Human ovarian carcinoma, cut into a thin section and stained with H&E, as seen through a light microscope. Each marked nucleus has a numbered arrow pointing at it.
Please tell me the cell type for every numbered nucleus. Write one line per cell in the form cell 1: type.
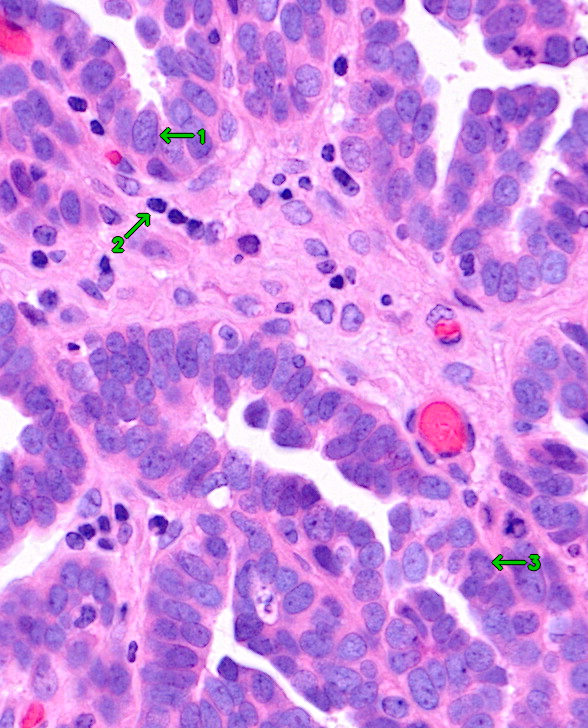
cell 1: carcinoma cell
cell 2: lymphocyte
cell 3: carcinoma cell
